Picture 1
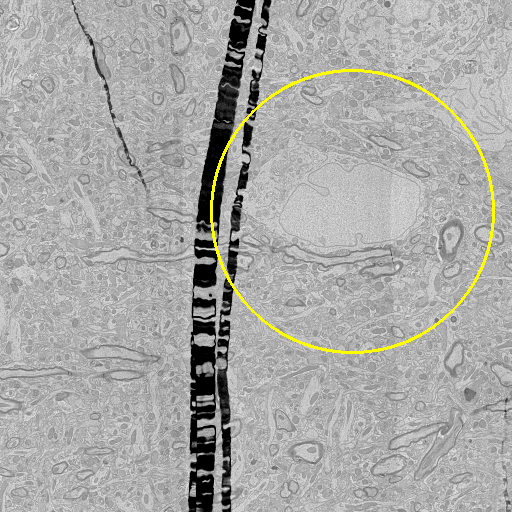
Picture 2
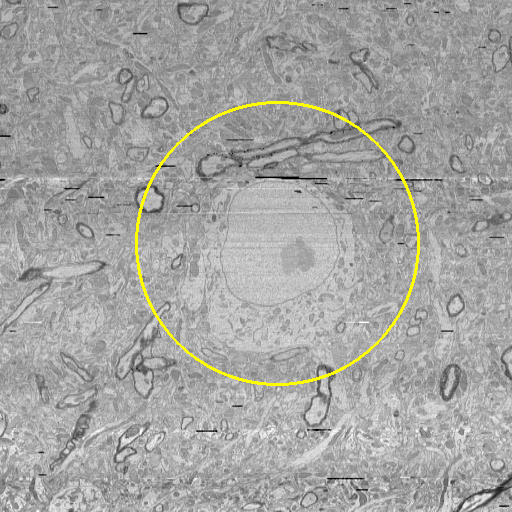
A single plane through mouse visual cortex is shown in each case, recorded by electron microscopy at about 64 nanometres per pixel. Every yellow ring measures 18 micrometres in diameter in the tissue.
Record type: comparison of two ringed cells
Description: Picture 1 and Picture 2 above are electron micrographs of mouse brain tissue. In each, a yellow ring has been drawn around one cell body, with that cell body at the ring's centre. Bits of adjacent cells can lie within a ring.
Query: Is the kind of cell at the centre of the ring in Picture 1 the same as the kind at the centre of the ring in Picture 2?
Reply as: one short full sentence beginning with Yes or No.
Yes, the two ringed cells are of the same kind.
